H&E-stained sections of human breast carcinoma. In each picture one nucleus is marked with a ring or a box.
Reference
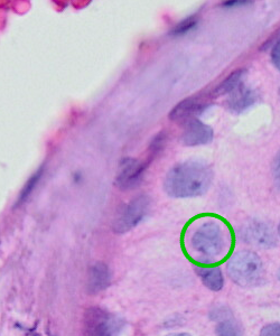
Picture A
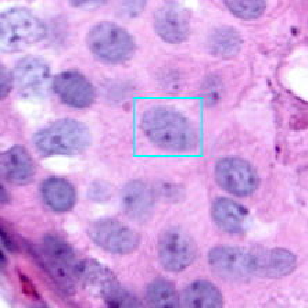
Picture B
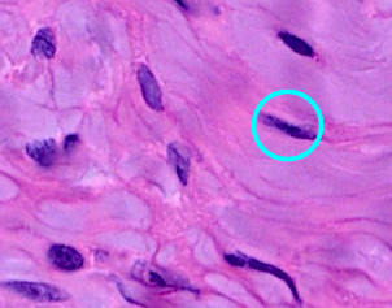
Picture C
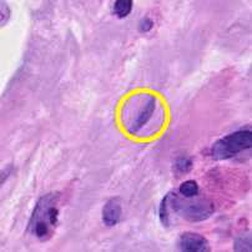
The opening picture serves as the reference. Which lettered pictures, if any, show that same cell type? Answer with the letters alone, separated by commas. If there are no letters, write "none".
A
